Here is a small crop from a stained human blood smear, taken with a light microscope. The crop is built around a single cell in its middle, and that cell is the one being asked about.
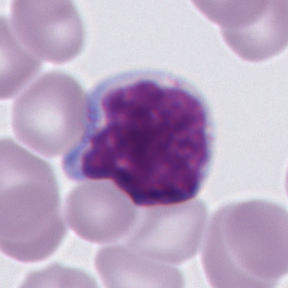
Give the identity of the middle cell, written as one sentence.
As for the central cell, it is a large granular lymphocyte.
